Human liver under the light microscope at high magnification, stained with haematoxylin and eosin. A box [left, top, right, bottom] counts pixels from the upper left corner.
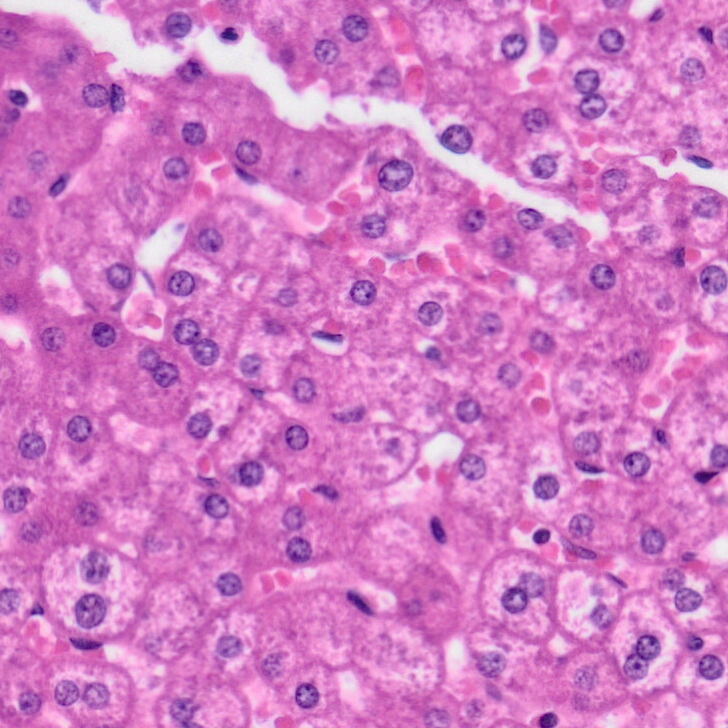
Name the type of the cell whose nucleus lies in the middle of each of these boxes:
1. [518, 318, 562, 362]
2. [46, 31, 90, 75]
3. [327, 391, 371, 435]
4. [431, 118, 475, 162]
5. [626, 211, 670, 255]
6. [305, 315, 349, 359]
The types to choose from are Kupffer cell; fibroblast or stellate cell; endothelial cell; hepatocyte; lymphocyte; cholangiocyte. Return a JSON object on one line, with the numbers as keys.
{"1": "hepatocyte", "2": "hepatocyte", "3": "endothelial cell", "4": "hepatocyte", "5": "hepatocyte", "6": "endothelial cell"}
